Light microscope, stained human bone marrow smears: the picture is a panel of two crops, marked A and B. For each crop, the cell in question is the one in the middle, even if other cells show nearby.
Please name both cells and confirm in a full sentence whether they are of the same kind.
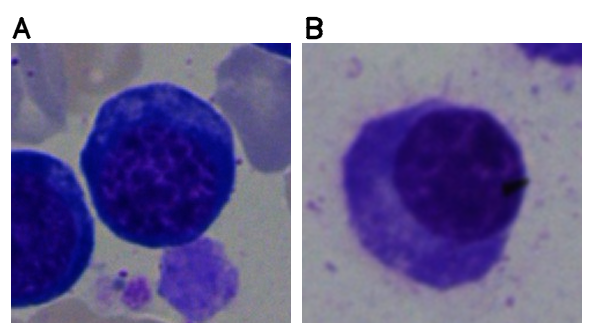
No, an erythroblast and a plasma cell are found in crop A and crop B, respectively.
